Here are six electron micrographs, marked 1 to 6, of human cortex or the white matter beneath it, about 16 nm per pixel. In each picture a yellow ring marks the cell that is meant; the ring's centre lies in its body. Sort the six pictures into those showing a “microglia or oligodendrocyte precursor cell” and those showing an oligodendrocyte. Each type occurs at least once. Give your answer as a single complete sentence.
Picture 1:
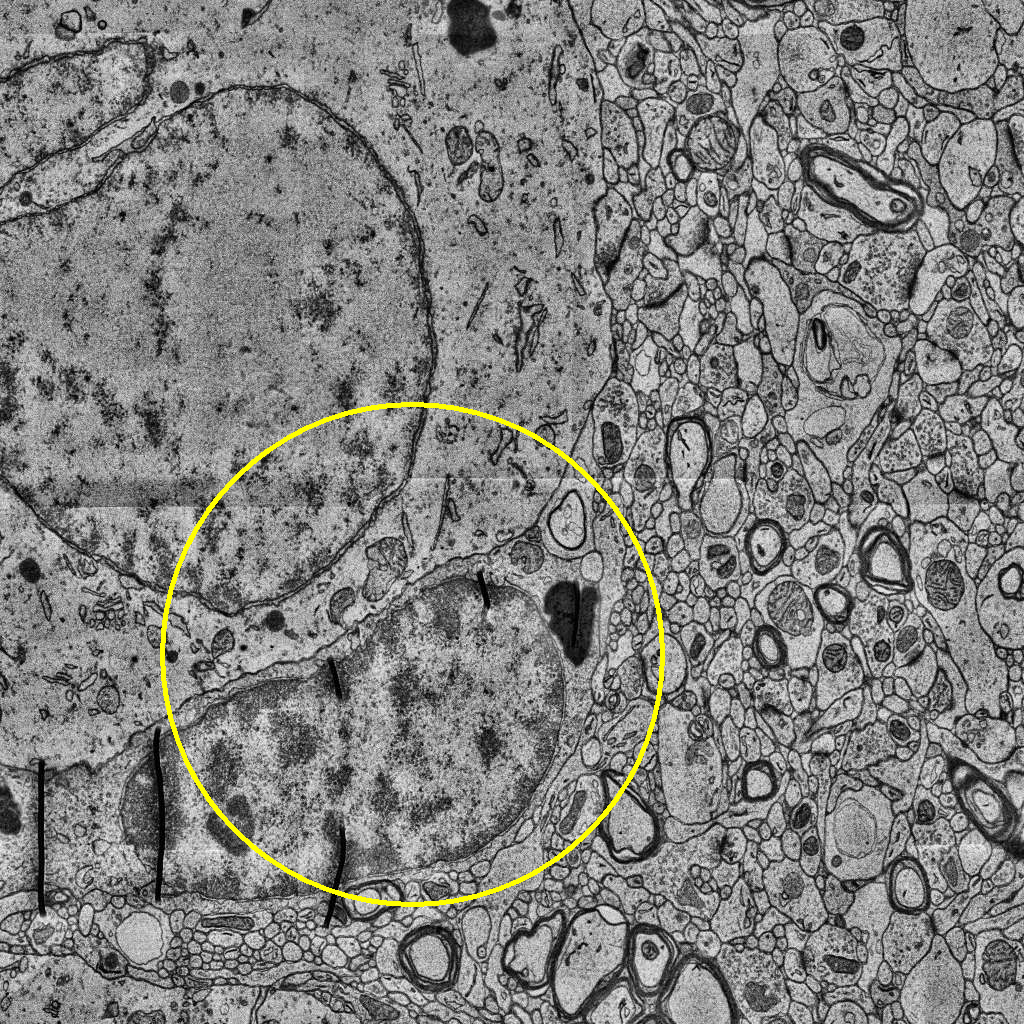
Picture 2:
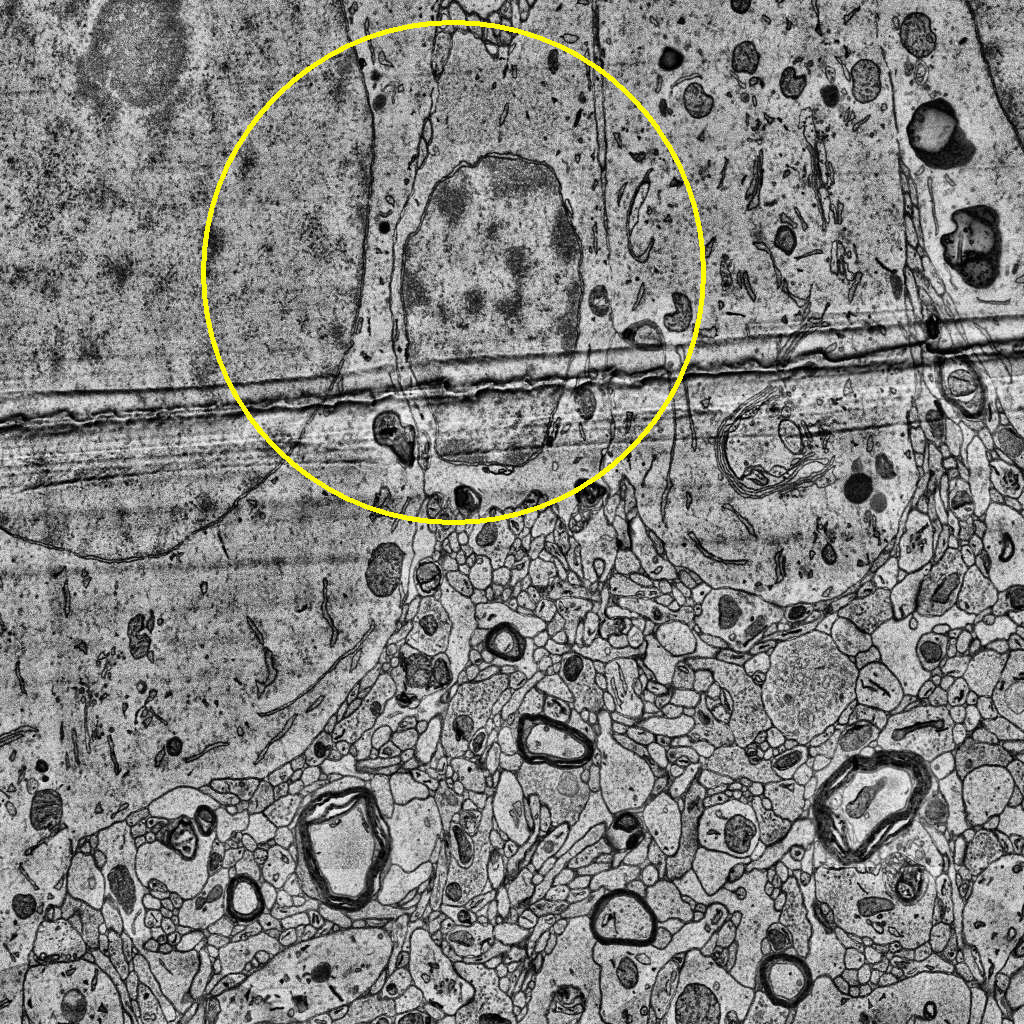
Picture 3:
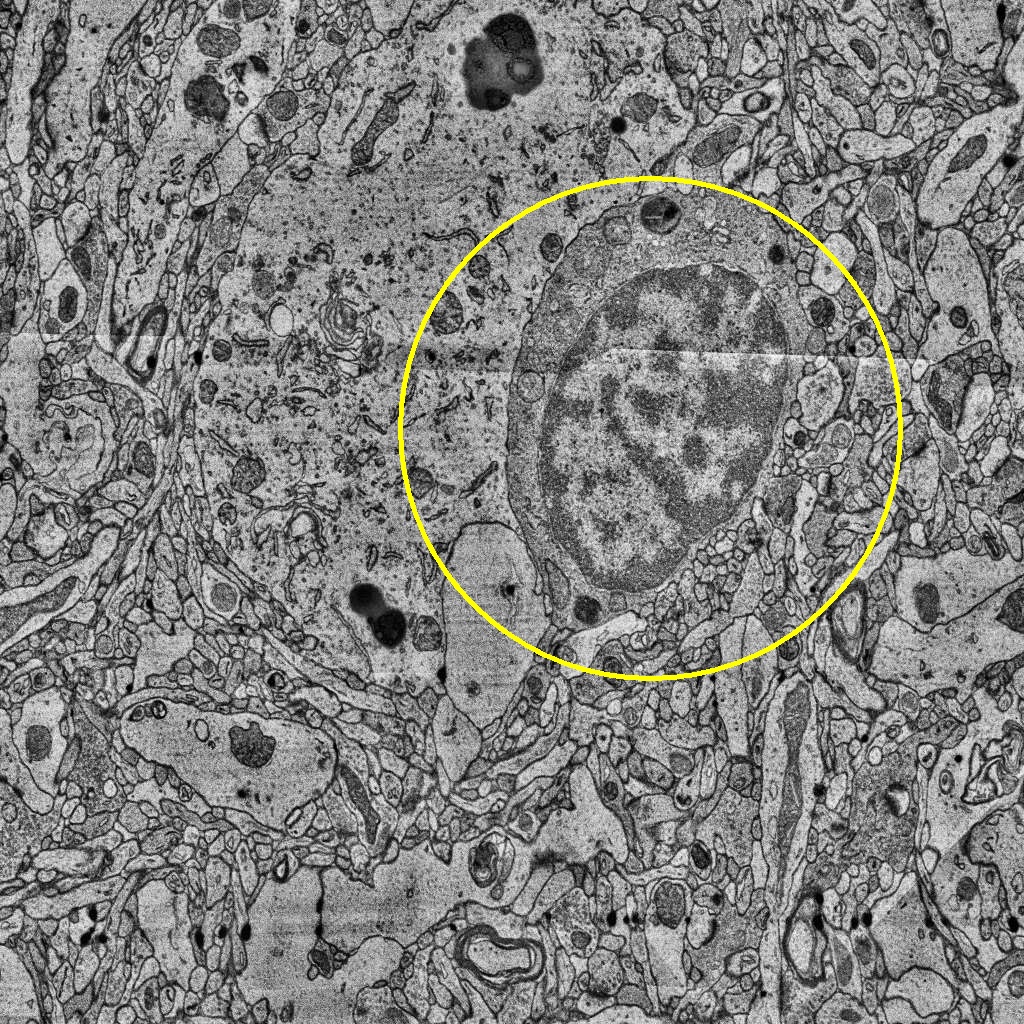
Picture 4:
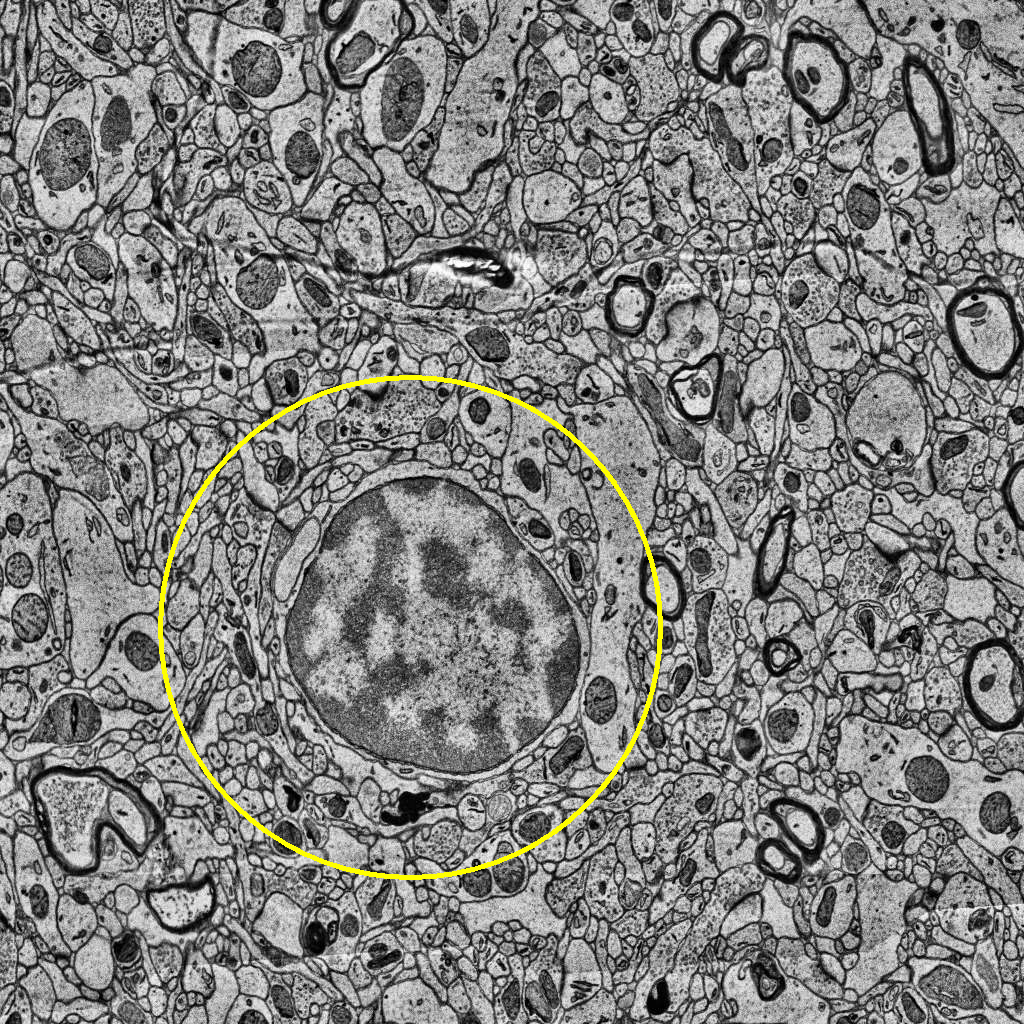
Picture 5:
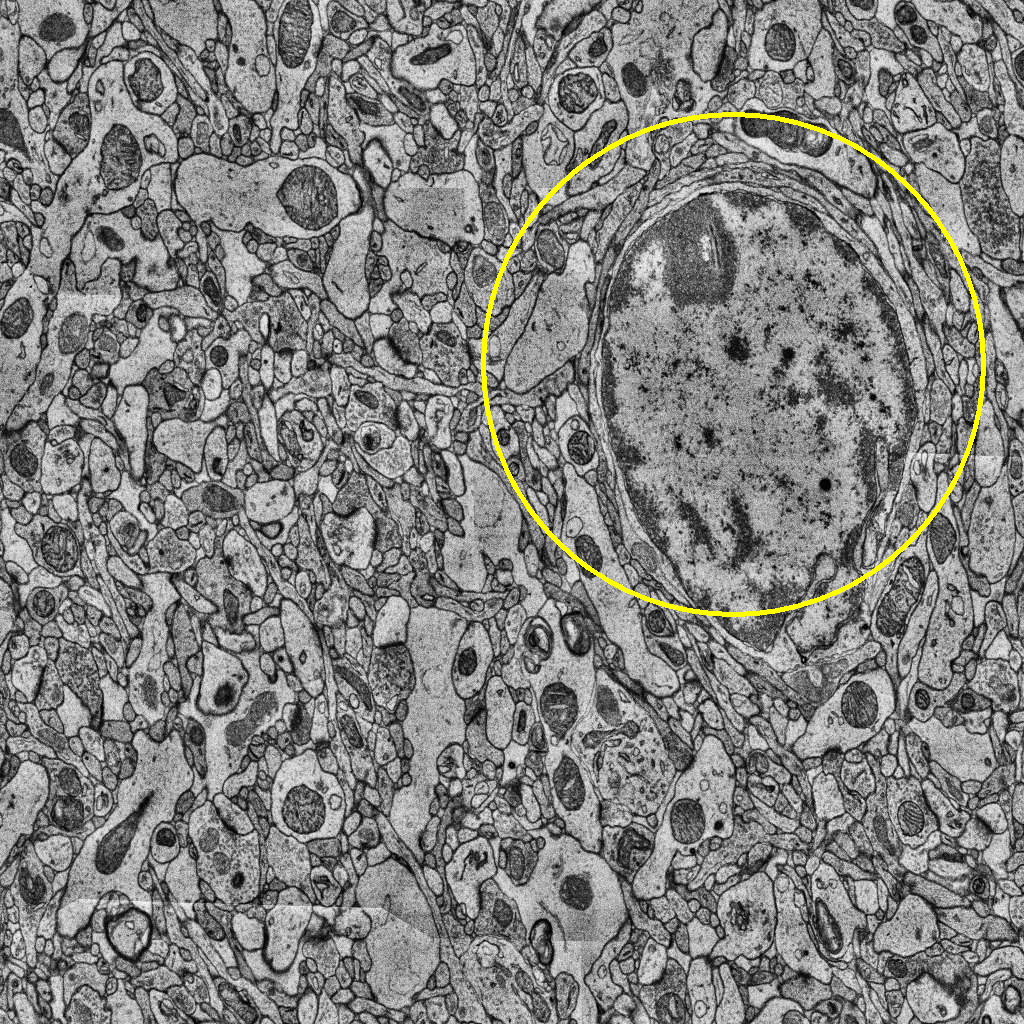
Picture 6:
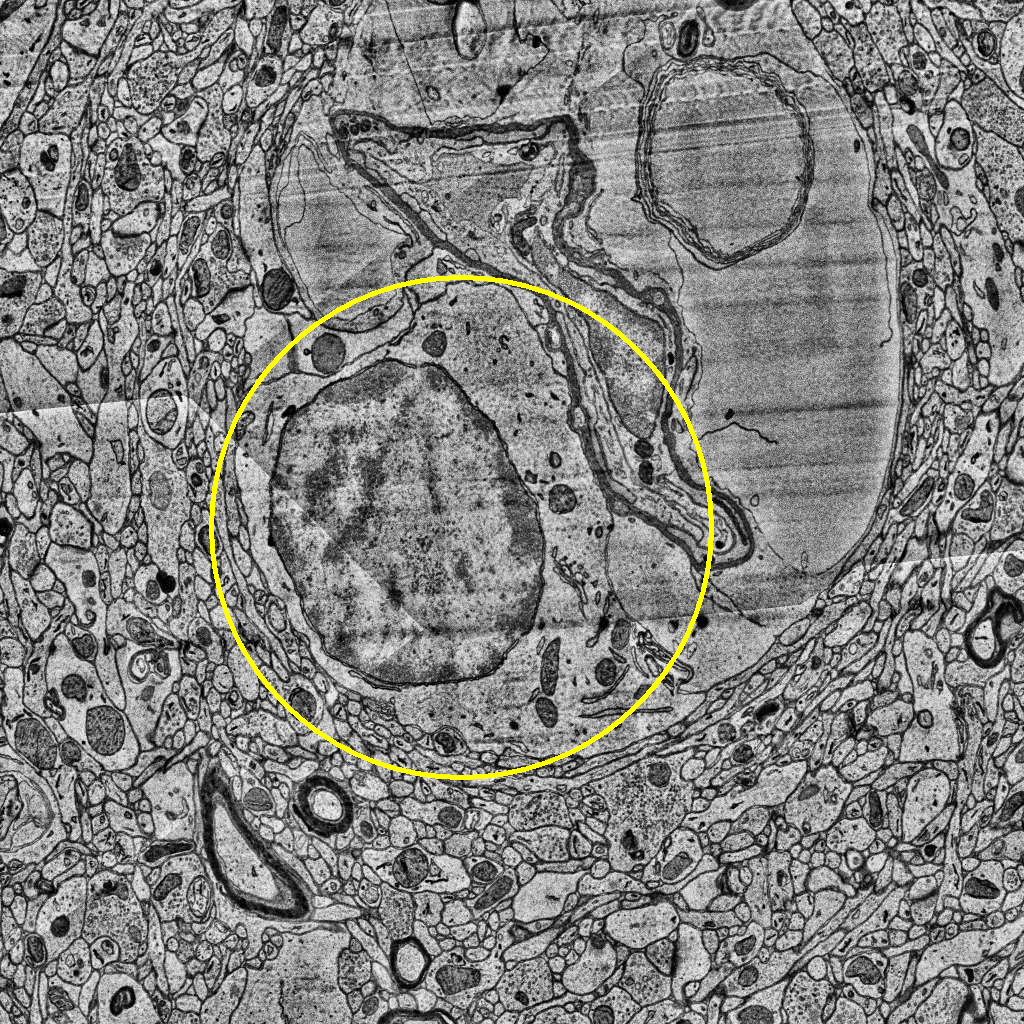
Pictures 2, 4, 5 and 6 show “microglia or oligodendrocyte precursor cells”, and pictures 1 and 3 show oligodendrocytes.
